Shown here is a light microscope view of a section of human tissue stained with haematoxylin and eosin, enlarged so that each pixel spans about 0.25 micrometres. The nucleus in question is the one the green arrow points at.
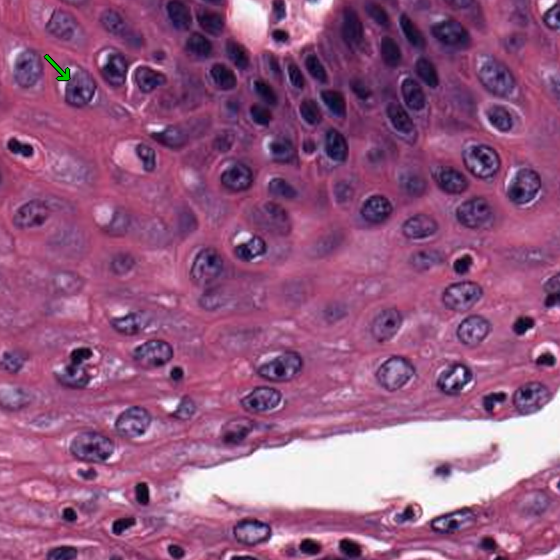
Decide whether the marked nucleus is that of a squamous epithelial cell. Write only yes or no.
yes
